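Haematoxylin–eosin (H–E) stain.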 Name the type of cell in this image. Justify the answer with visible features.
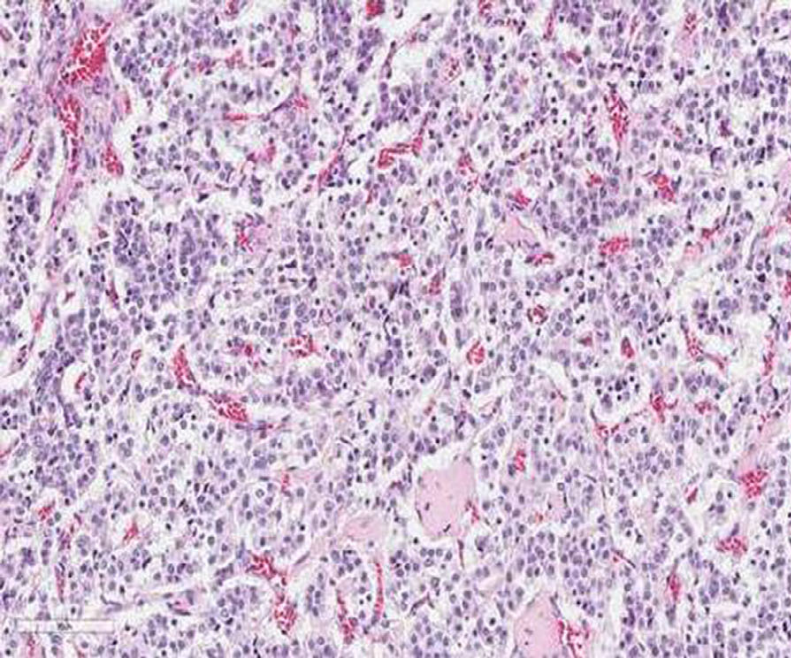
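Round, dark purple nuclei fairly uniform in size.
Answer: polygonal tumour cells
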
